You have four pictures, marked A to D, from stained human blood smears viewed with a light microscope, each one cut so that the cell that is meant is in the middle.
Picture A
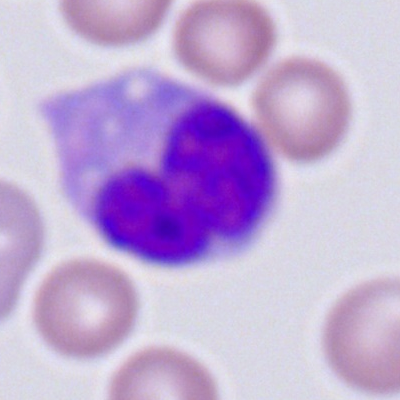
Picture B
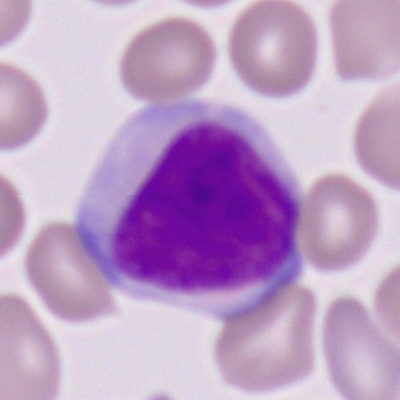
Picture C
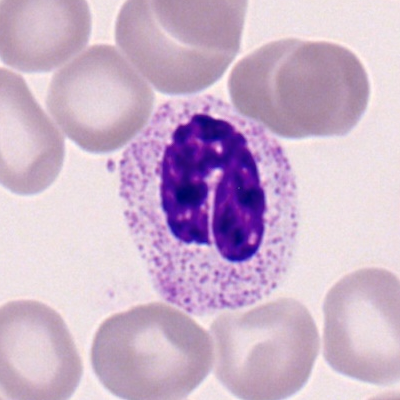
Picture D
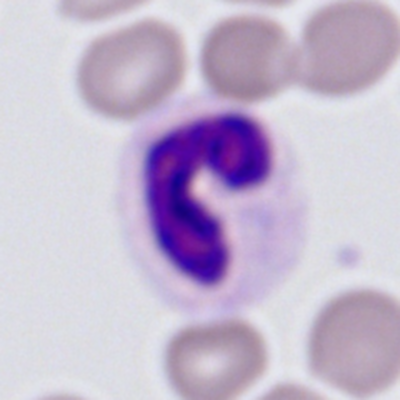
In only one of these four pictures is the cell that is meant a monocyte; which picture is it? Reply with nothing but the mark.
A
